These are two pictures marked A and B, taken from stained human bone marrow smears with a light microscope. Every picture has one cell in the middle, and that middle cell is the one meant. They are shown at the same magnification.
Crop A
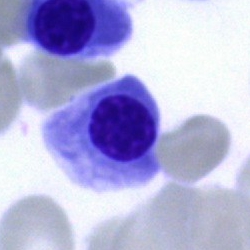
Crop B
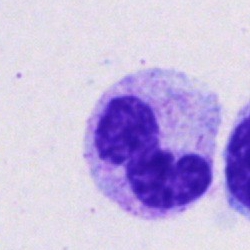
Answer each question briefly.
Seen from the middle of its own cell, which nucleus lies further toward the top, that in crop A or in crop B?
A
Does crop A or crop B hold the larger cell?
B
